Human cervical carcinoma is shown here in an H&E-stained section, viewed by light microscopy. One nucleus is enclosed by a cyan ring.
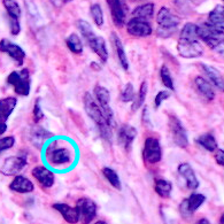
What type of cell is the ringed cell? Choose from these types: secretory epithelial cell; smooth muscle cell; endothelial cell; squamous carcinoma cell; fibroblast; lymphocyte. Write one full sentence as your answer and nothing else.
In the tissue under study, the ringed cell is a lymphocyte.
